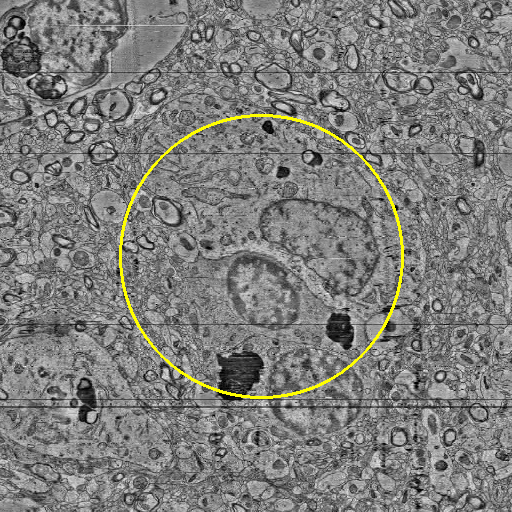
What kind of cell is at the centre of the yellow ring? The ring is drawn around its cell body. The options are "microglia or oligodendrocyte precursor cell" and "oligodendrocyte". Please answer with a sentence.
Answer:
The yellow ring marks the cell body of an oligodendrocyte.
